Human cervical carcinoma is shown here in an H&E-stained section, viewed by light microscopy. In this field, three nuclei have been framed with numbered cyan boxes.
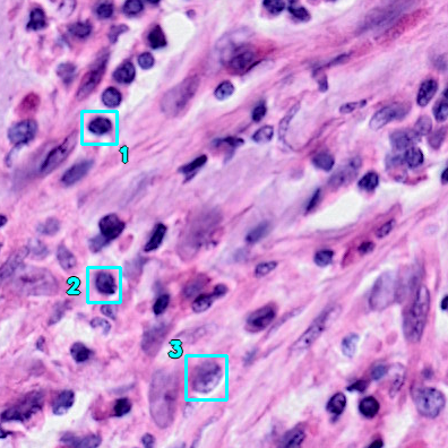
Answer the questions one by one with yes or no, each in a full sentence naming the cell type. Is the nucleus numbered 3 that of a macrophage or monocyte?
Yes, the cell denoted by 3 is a macrophage or monocyte.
